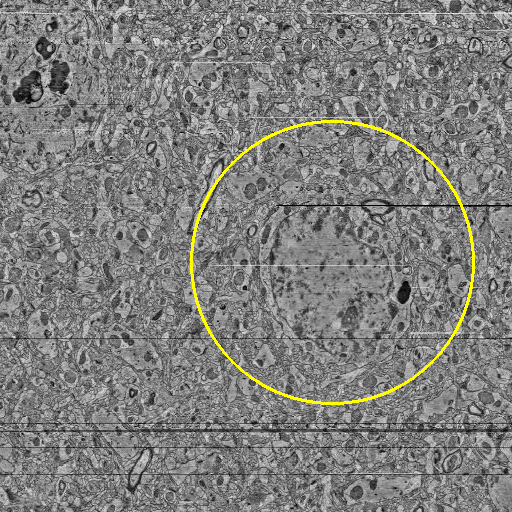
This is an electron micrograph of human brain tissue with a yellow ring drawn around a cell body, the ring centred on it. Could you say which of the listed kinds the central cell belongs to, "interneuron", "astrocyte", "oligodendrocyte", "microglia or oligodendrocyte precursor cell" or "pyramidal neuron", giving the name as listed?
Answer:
interneuron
